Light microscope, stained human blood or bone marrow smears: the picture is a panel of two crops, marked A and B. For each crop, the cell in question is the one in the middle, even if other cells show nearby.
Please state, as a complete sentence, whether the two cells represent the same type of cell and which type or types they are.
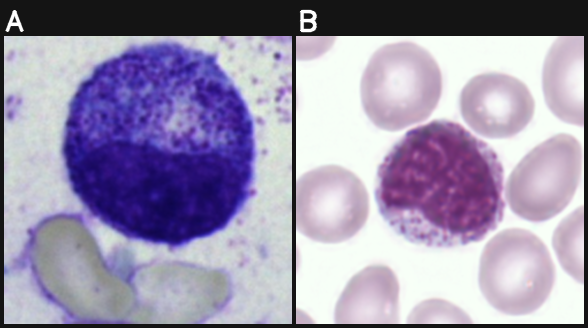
No, a myelocyte is what occupies crop A, and a metamyelocyte is what occupies crop B.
